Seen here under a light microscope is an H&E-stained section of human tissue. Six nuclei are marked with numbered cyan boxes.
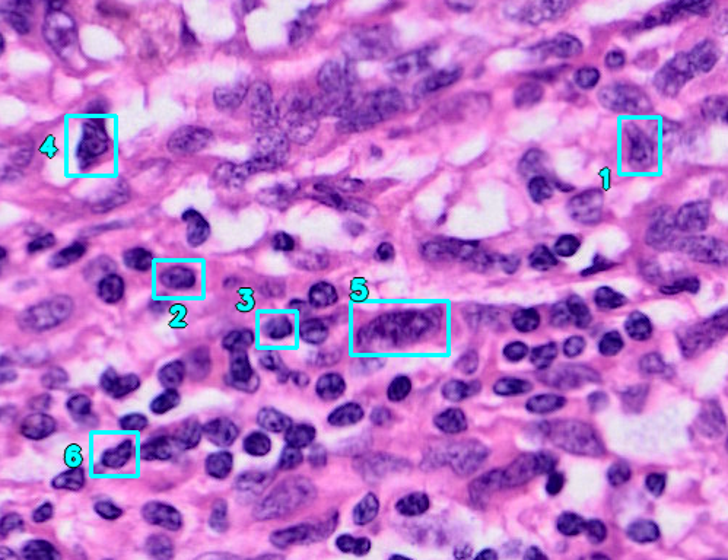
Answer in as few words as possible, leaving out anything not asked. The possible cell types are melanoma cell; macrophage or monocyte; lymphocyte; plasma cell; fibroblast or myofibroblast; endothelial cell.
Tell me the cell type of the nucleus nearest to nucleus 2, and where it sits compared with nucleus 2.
a plasma cell, below and to the left of nucleus 2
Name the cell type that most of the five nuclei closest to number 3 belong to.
lymphocyte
